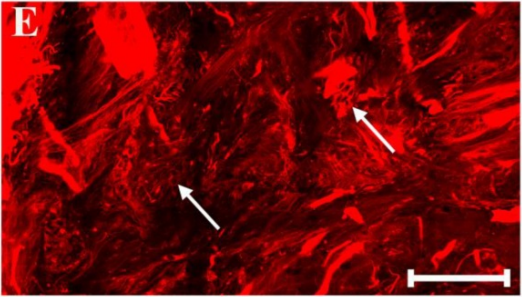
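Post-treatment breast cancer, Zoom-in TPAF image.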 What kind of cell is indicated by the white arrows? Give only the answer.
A: residual tumor cells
